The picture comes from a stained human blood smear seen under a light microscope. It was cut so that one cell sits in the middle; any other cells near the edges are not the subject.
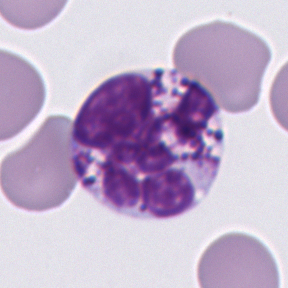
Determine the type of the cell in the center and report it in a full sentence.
Looking at the middle of the crop, the cell there is a basophil.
